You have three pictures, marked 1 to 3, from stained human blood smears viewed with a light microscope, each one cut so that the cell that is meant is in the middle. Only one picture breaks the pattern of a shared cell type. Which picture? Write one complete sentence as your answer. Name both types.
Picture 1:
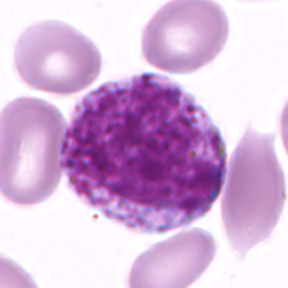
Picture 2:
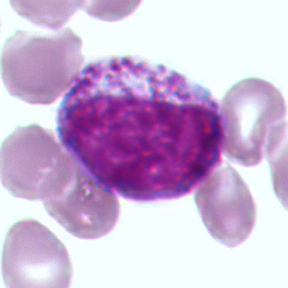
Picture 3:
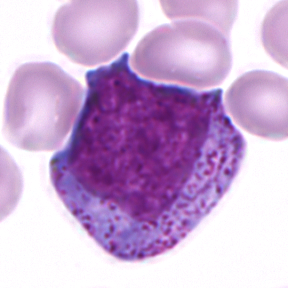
Picture 3 differs, because its cell is a promyelocyte and the rest are metamyelocytes.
